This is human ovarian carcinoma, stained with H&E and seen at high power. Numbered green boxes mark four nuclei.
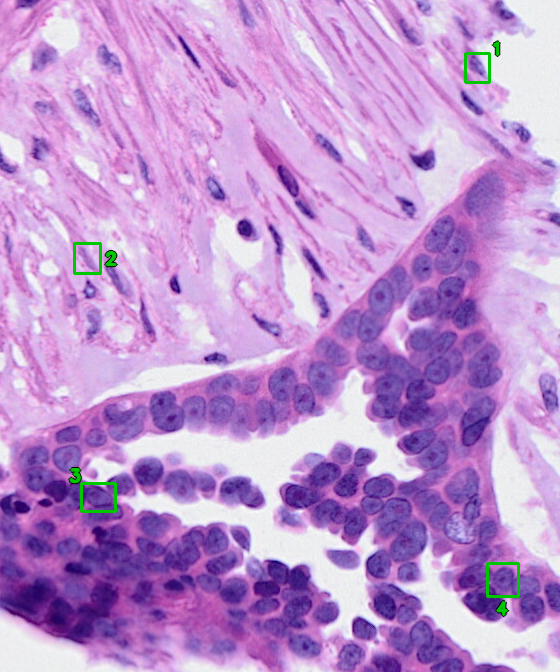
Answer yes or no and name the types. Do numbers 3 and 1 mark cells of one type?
No, cell 3 is a carcinoma cell, while cell 1 is a fibroblast.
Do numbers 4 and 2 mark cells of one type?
No, cell 4 is a carcinoma cell, while a fibroblast is what cell 2 is.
